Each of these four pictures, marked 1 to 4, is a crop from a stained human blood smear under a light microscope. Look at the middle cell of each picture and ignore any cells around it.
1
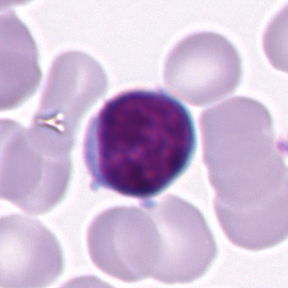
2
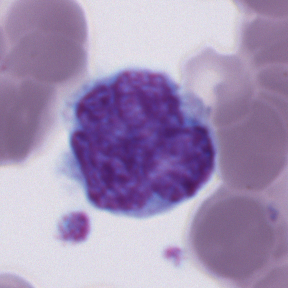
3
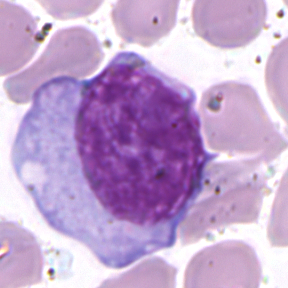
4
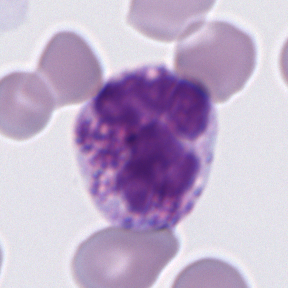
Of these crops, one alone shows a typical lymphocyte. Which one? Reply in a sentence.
Crop 1 represents a typical lymphocyte, while the other crops do not.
